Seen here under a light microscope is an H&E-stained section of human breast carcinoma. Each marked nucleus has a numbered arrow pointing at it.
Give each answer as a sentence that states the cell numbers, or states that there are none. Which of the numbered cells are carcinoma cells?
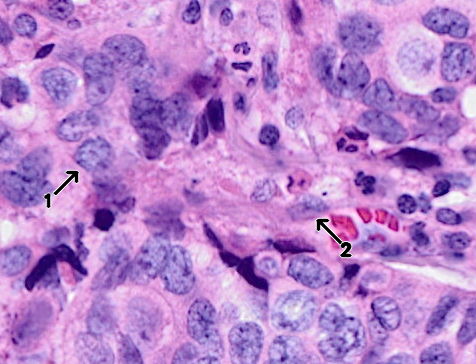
With the exception of cell 1, no marked cell is a carcinoma cell.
